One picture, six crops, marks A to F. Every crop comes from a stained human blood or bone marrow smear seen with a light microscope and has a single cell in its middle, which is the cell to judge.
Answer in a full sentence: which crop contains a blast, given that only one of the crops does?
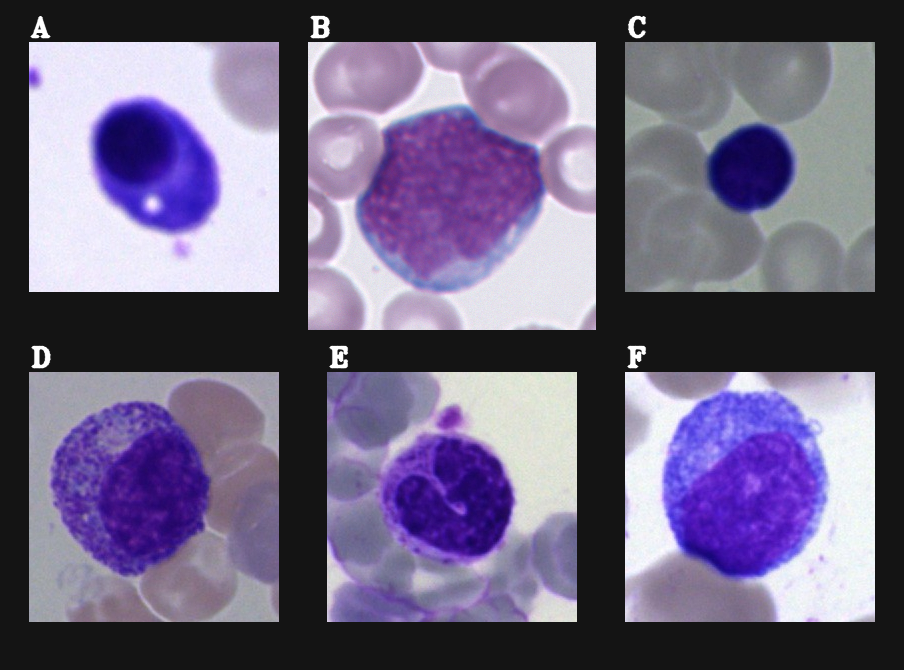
The cell identified as a blast is the one in crop B.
